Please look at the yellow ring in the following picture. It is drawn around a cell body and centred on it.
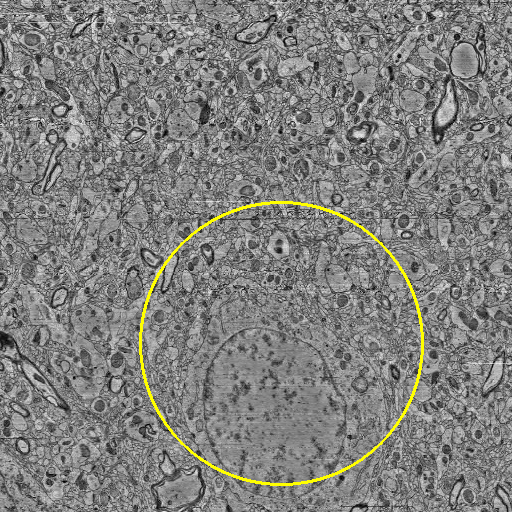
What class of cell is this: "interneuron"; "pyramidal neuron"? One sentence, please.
The ring surrounds the cell body of an interneuron.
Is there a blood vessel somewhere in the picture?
No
